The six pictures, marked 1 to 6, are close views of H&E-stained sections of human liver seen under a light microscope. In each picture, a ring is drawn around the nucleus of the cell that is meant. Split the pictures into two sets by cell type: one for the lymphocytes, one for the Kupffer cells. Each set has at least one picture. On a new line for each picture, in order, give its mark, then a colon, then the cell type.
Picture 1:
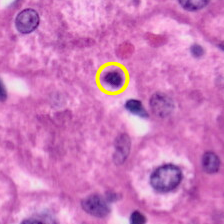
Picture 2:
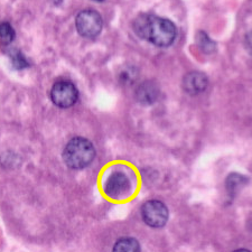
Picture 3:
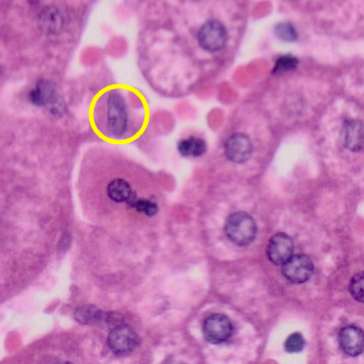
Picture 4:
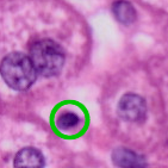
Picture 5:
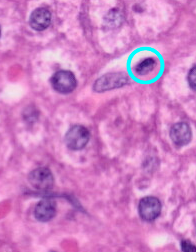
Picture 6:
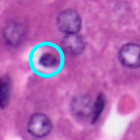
1: lymphocyte
2: Kupffer cell
3: Kupffer cell
4: lymphocyte
5: lymphocyte
6: lymphocyte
